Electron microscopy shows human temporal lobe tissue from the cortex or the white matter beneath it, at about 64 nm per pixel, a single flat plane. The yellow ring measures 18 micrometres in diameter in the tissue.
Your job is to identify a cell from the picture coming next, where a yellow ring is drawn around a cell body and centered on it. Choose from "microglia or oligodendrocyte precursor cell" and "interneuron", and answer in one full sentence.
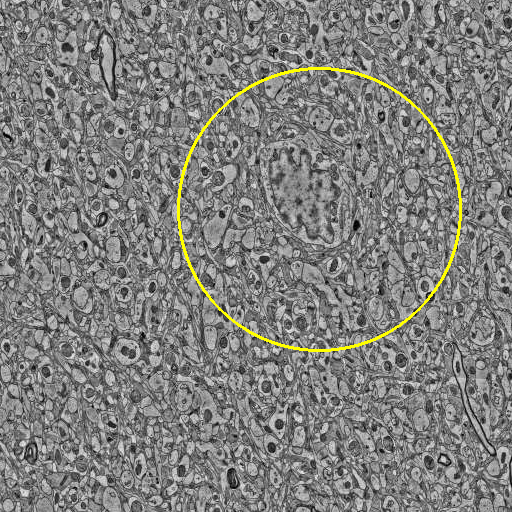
Centered in the yellow ring of the picture is the body of an interneuron.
